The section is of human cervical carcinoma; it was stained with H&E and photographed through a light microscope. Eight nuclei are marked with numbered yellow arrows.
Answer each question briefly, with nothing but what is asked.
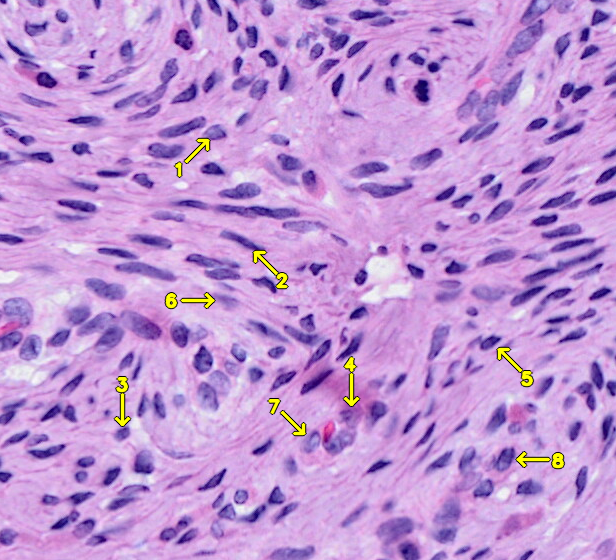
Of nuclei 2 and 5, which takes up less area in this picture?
5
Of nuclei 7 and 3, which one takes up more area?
7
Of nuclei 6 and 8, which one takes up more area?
8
